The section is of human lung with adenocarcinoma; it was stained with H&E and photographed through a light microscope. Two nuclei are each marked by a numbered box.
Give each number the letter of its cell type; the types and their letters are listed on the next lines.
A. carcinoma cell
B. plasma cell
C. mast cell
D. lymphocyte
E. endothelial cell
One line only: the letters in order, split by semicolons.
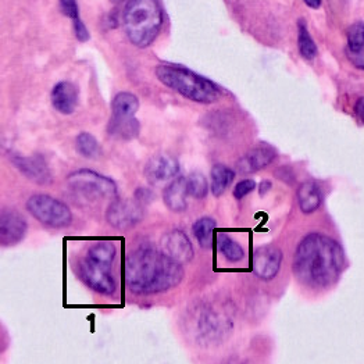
A; D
